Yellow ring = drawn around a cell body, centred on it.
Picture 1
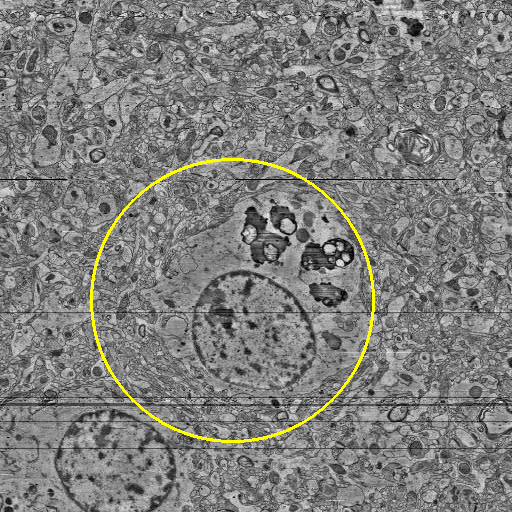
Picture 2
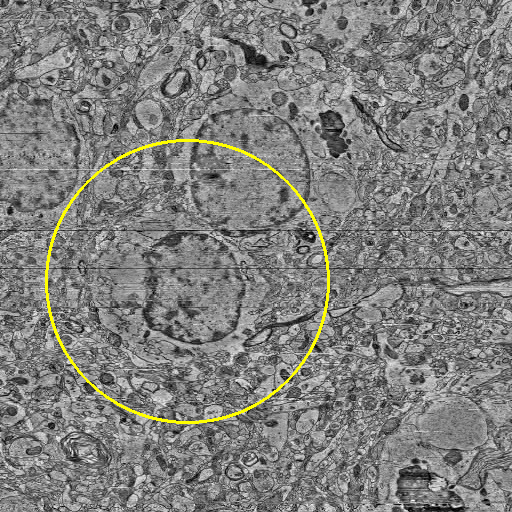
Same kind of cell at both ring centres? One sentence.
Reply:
Yes, they are the same kind of cell.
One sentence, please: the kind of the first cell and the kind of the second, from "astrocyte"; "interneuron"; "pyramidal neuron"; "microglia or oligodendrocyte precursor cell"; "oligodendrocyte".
Each of the two cells is an astrocyte.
